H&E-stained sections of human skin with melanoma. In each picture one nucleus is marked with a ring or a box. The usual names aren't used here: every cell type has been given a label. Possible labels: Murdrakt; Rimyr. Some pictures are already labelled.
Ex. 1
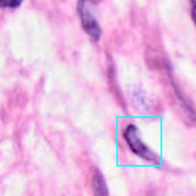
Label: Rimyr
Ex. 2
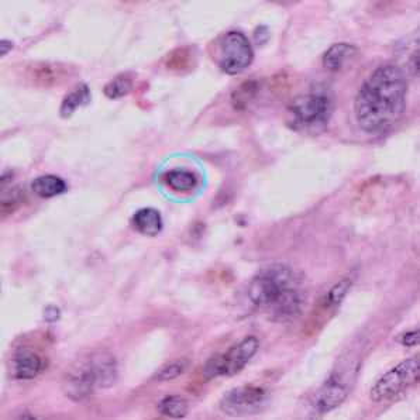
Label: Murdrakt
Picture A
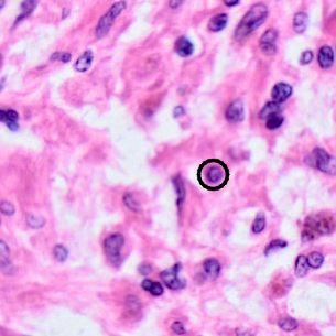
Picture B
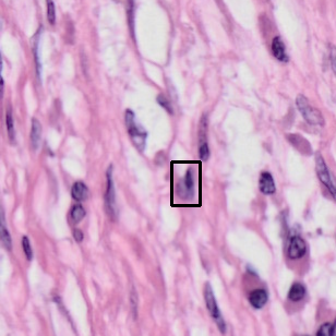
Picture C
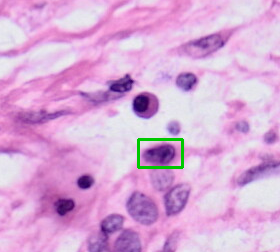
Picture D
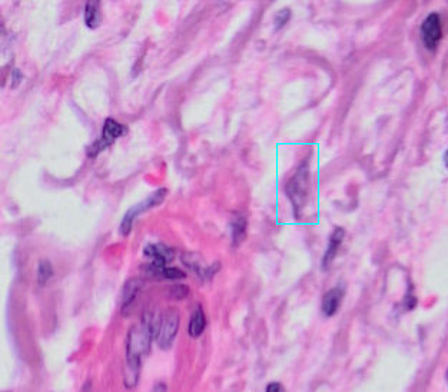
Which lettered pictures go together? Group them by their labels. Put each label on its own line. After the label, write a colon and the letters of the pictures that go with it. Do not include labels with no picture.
Murdrakt: A, B, C
Rimyr: D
